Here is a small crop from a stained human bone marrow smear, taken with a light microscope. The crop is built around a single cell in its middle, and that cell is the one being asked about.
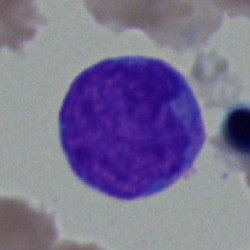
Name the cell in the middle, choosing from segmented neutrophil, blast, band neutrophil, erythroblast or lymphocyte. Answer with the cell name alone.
blast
